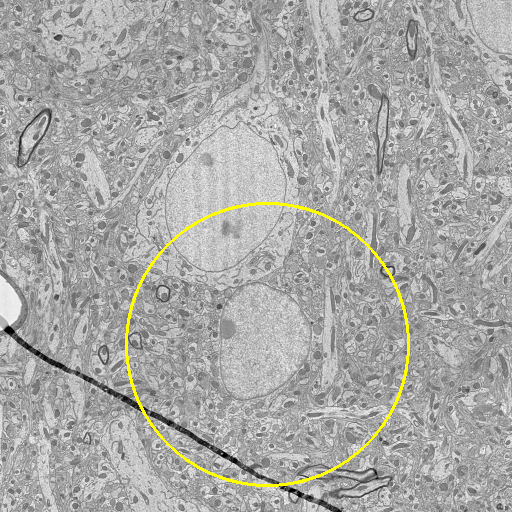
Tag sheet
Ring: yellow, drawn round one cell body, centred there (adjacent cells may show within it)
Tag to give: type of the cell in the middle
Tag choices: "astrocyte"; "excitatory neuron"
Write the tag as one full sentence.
I tag the cell centred in the yellow ring as an astrocyte in this picture.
